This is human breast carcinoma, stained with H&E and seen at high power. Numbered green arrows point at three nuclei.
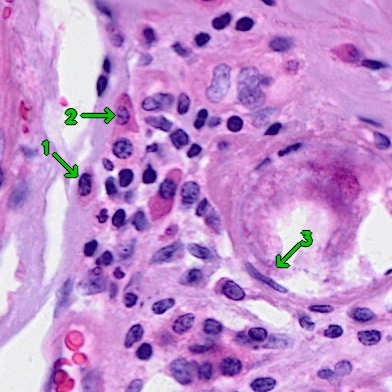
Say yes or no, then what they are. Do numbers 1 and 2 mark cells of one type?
Yes, cells 1 and 2 are both to be classed as mast cells.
